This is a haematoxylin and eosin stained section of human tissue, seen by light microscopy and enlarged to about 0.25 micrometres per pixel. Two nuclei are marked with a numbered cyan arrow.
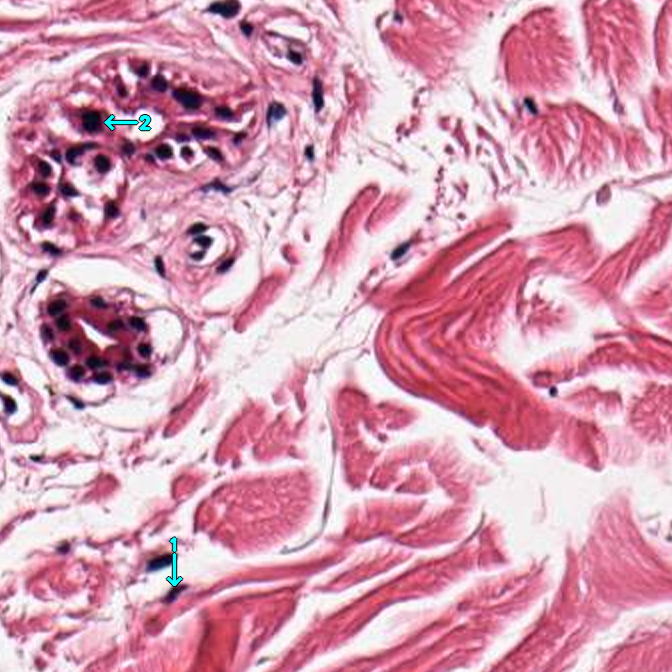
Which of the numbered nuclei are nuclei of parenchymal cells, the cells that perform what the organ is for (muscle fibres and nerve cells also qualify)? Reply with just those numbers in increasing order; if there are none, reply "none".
2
